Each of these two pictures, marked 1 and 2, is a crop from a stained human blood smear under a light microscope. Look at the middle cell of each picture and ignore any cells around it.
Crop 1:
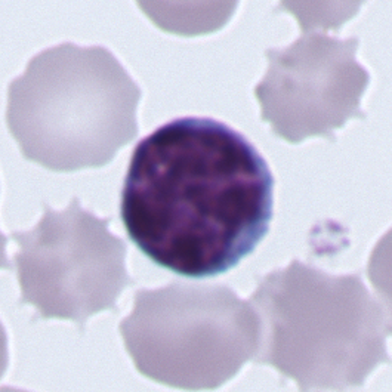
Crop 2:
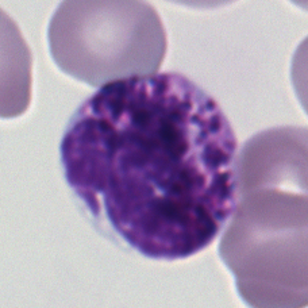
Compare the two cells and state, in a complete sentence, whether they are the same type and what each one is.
No, it is in crop 1 that a typical lymphocyte is shown, and in crop 2 that a basophil is shown.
